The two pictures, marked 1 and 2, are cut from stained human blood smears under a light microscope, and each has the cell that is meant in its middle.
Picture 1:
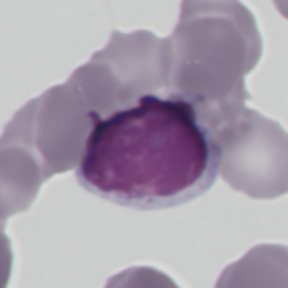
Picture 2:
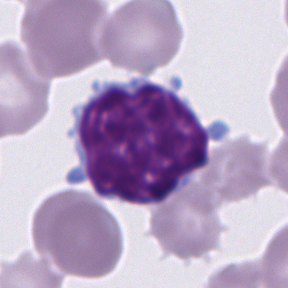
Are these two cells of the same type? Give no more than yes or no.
yes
